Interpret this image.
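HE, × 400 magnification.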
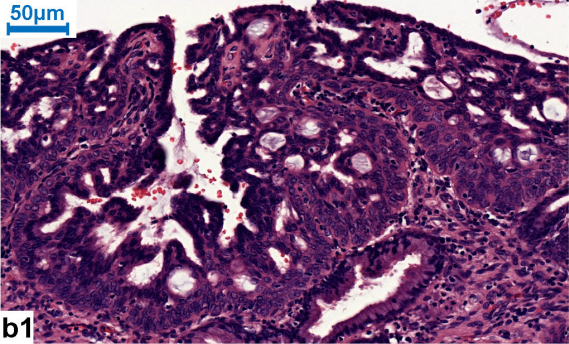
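Microglandular hyperplasia: a crowded proliferation of small glands of varying size and shape, packed back to back with little intervening stroma. Cuboidal to flattened cells with dark, fairly uniform nuclei line the glands. Many lumina hold round pale vacuoles or pale secretions, and some hold scattered red blood cells. Solid, more cellular areas lie among the glands. A larger elongated gland runs along the lower edge beside a narrow band of cellular stroma. No marked nuclear pleomorphism is evident.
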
